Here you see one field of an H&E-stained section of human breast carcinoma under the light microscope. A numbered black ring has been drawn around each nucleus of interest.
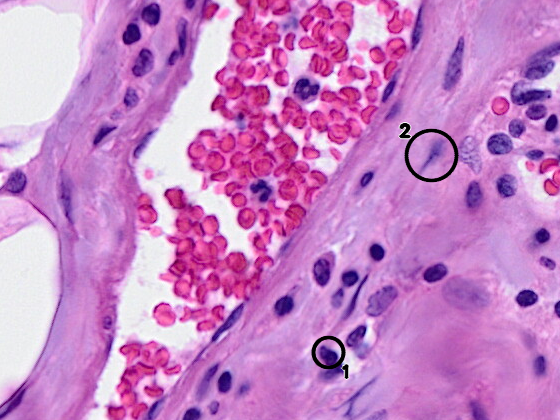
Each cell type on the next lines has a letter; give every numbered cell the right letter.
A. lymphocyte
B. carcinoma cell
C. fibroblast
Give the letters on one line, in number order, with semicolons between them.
A; C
